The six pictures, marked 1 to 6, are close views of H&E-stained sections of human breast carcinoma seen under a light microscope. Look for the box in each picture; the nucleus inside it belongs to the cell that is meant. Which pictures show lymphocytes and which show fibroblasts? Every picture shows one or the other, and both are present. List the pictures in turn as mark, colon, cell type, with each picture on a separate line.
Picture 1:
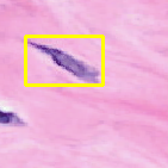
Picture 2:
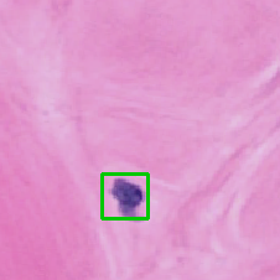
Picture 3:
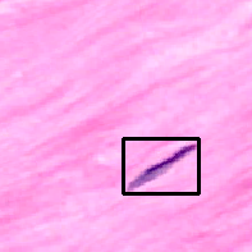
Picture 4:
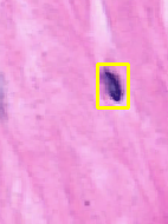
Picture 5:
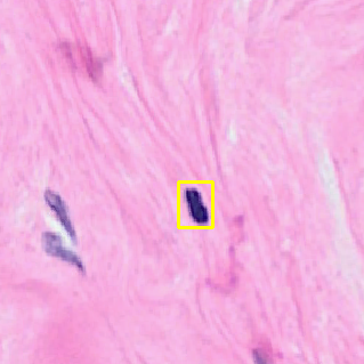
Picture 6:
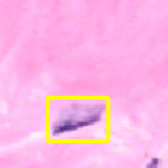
1: fibroblast
2: lymphocyte
3: fibroblast
4: lymphocyte
5: lymphocyte
6: fibroblast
